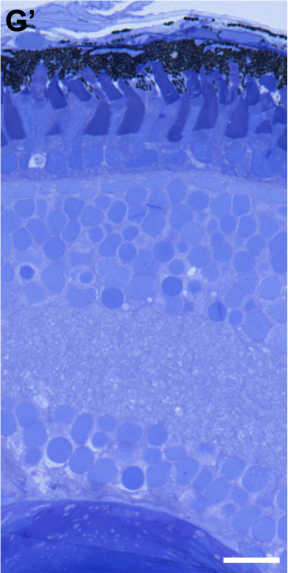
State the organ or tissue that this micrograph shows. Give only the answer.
Retinas.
